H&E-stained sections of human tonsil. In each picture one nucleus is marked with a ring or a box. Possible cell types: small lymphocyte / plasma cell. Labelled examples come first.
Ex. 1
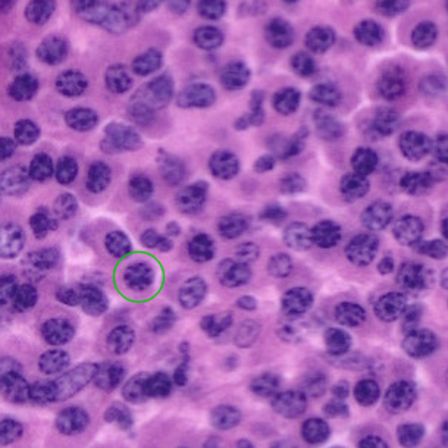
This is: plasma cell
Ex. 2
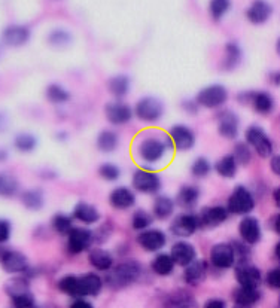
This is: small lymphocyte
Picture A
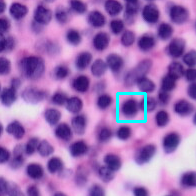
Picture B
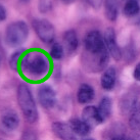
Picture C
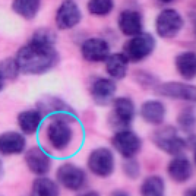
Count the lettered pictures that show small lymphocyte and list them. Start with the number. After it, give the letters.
Count: 2 (A, C)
